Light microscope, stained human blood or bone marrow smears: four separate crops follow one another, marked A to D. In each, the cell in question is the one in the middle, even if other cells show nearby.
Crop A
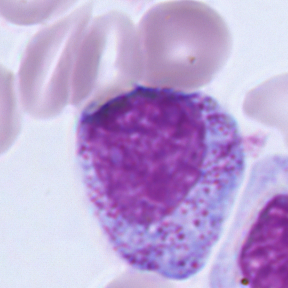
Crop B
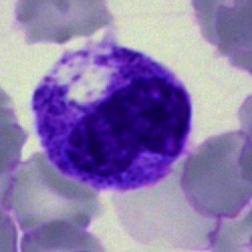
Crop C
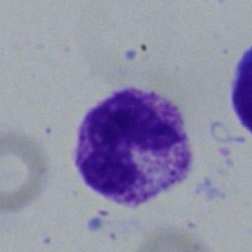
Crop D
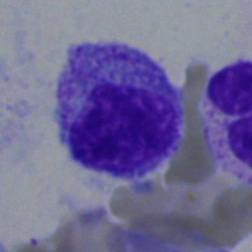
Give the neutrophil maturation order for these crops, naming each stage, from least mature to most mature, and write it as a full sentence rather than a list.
The order from least to most mature is crop A (a promyelocyte), crop D (a myelocyte), crop B (a metamyelocyte) and crop C (a segmented neutrophil).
